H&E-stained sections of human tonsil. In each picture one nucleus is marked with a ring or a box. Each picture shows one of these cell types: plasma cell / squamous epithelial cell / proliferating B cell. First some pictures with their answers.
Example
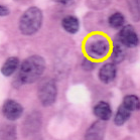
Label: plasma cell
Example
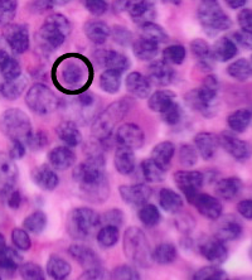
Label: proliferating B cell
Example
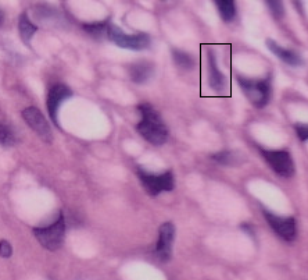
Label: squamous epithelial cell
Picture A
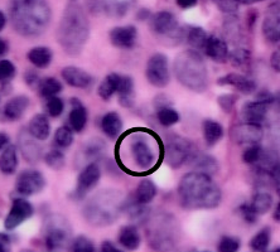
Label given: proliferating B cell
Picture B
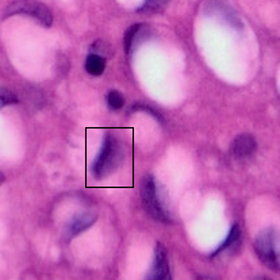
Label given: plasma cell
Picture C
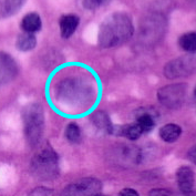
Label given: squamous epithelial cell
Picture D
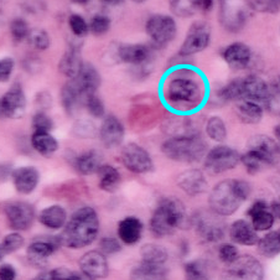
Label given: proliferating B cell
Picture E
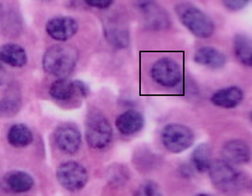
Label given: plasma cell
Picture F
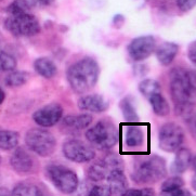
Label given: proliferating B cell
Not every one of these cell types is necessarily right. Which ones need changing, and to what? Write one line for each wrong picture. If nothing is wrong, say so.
B: not plasma cell but squamous epithelial cell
